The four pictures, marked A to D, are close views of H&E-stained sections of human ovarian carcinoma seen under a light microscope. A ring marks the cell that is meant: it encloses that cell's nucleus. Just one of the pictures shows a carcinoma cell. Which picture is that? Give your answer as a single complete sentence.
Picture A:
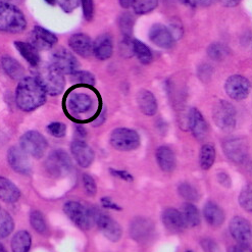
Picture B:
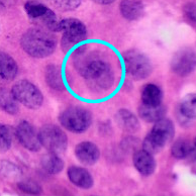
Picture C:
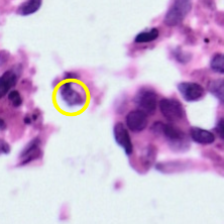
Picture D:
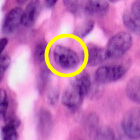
Picture B is the one that shows the carcinoma cell.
